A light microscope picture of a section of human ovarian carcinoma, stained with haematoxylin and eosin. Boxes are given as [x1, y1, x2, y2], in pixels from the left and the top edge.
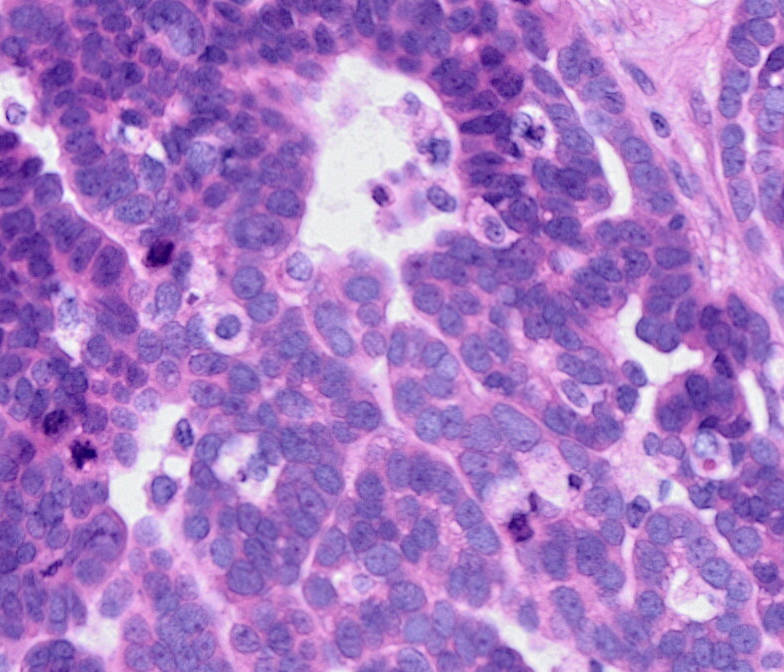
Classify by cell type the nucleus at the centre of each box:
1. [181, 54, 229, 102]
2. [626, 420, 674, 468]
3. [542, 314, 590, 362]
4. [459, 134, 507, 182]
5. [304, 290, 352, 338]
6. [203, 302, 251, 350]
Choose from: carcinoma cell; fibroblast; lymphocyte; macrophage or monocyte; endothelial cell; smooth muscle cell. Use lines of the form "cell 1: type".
cell 1: carcinoma cell
cell 2: macrophage or monocyte
cell 3: carcinoma cell
cell 4: carcinoma cell
cell 5: carcinoma cell
cell 6: macrophage or monocyte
